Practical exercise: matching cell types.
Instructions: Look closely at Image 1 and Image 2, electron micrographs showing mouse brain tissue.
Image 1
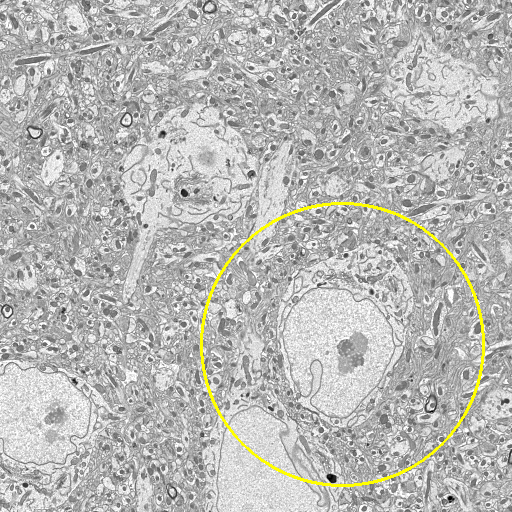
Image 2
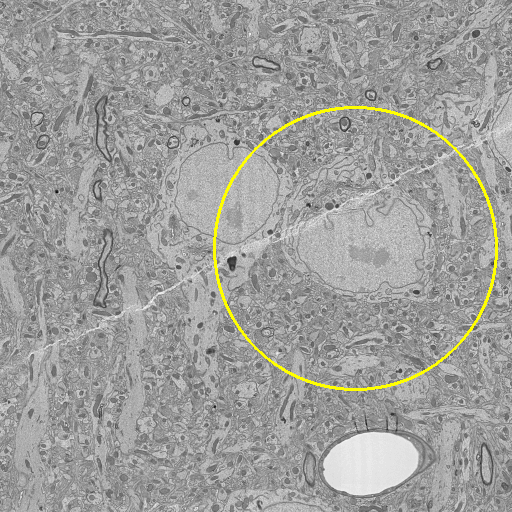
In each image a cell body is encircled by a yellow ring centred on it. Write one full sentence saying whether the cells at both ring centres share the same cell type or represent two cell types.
Across Image 1 and Image 2, the cells at the ring centres share the same cell type.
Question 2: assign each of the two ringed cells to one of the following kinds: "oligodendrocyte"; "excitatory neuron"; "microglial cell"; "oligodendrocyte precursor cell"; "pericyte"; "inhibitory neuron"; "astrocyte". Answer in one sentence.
Each of the two pictures has an inhibitory neuron at the ring centre.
